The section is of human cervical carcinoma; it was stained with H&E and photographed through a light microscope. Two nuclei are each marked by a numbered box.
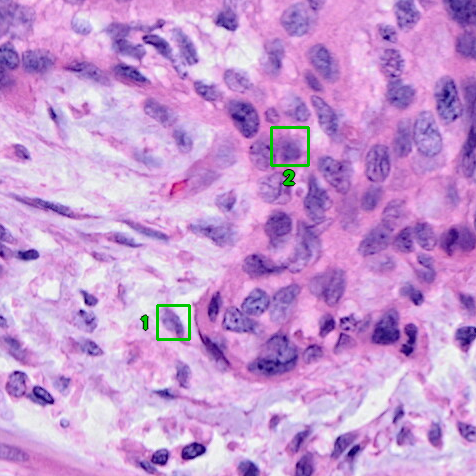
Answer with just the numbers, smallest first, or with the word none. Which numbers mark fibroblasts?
1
